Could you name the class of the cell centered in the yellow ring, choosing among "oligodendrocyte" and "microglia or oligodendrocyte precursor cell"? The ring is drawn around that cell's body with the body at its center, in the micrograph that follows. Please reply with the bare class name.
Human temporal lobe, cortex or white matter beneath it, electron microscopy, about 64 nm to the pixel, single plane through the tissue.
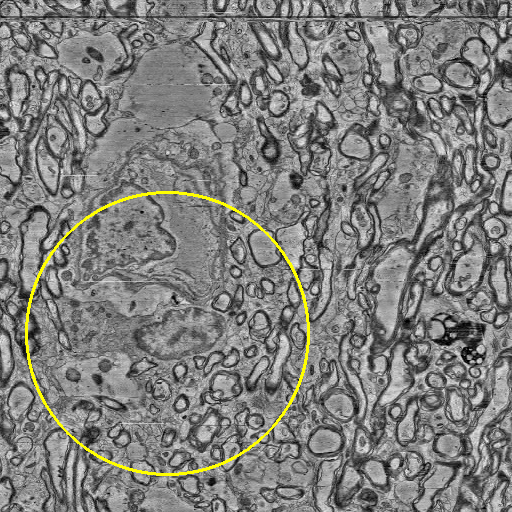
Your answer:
oligodendrocyte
